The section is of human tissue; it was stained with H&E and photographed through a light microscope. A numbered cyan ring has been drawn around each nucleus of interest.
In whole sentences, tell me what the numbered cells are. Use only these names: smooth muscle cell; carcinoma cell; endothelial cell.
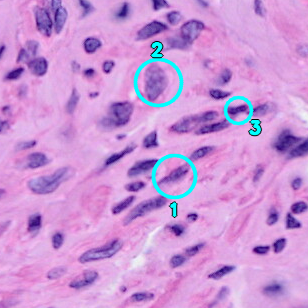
Cell 1 is a smooth muscle cell, cell 2 is an endothelial cell and cell 3 is a smooth muscle cell.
